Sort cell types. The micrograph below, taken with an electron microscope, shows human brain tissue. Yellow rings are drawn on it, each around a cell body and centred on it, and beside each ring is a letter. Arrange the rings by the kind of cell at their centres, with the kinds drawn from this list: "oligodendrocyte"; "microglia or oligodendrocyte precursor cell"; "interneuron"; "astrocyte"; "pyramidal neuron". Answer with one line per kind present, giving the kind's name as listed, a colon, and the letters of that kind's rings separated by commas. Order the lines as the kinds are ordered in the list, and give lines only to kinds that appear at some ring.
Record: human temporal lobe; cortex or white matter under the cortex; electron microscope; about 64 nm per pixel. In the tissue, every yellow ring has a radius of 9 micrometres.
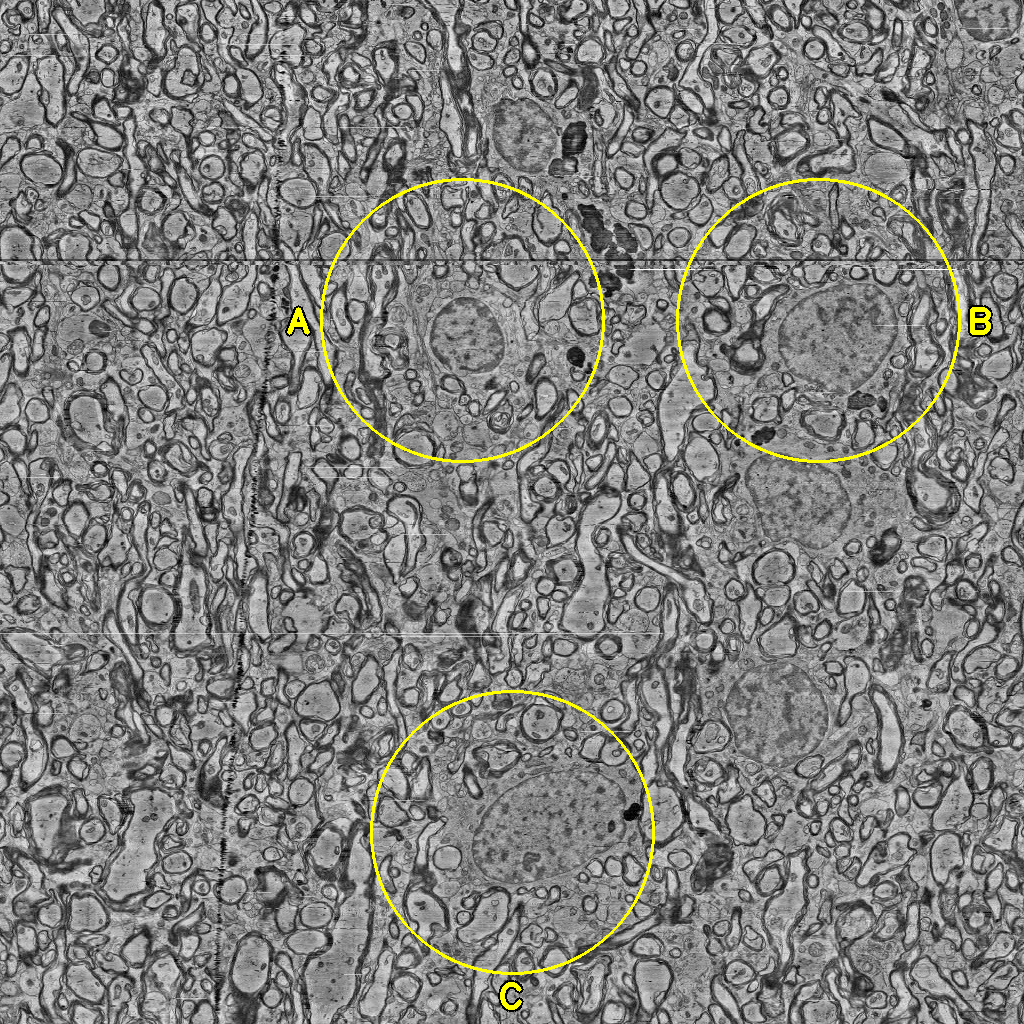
oligodendrocyte: B, C
microglia or oligodendrocyte precursor cell: A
